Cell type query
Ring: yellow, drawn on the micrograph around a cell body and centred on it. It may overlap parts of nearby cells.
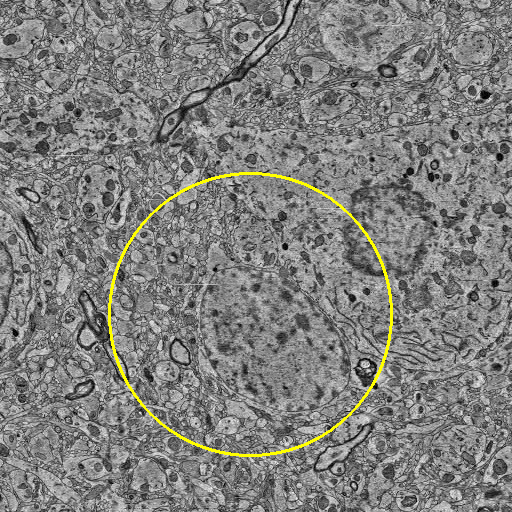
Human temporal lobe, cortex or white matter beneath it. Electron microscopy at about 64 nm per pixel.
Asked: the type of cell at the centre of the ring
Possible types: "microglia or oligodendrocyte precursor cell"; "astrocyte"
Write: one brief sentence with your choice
The ring marks an astrocyte.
